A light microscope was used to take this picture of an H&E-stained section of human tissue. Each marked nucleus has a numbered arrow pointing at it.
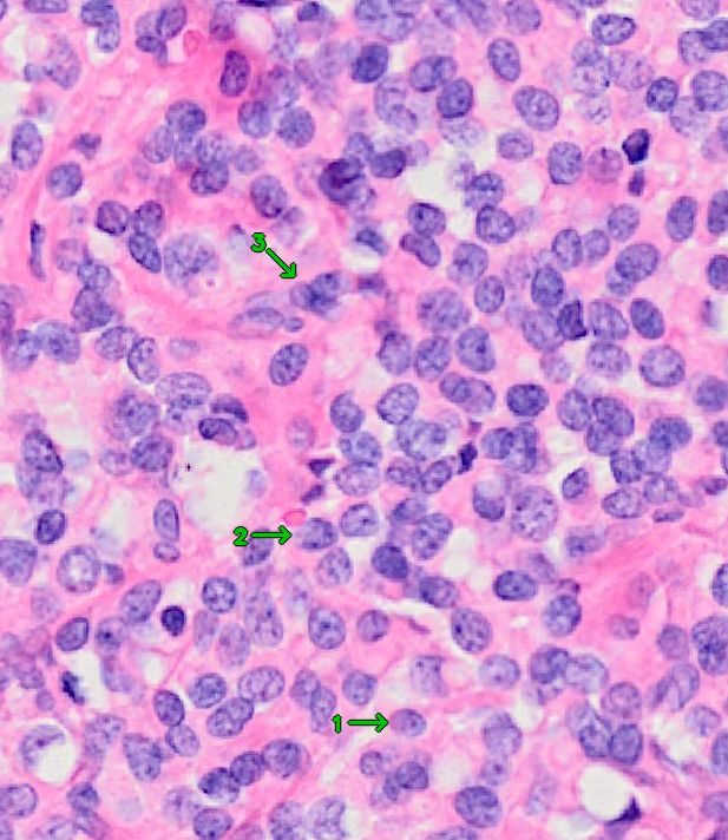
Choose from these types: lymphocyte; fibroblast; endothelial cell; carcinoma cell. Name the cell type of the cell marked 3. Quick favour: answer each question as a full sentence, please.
Cell 3, as marked in the section, is an endothelial cell.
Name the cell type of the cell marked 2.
The mark numbered 2 indicates the nucleus of a carcinoma cell.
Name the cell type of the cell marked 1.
Cell 1 should be recorded as a carcinoma cell.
